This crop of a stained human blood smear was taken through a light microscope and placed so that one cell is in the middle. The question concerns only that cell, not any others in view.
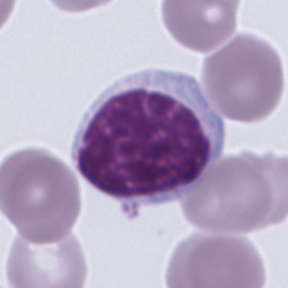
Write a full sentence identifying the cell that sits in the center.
The cell at the middle of the crop is recognized as a large granular lymphocyte.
